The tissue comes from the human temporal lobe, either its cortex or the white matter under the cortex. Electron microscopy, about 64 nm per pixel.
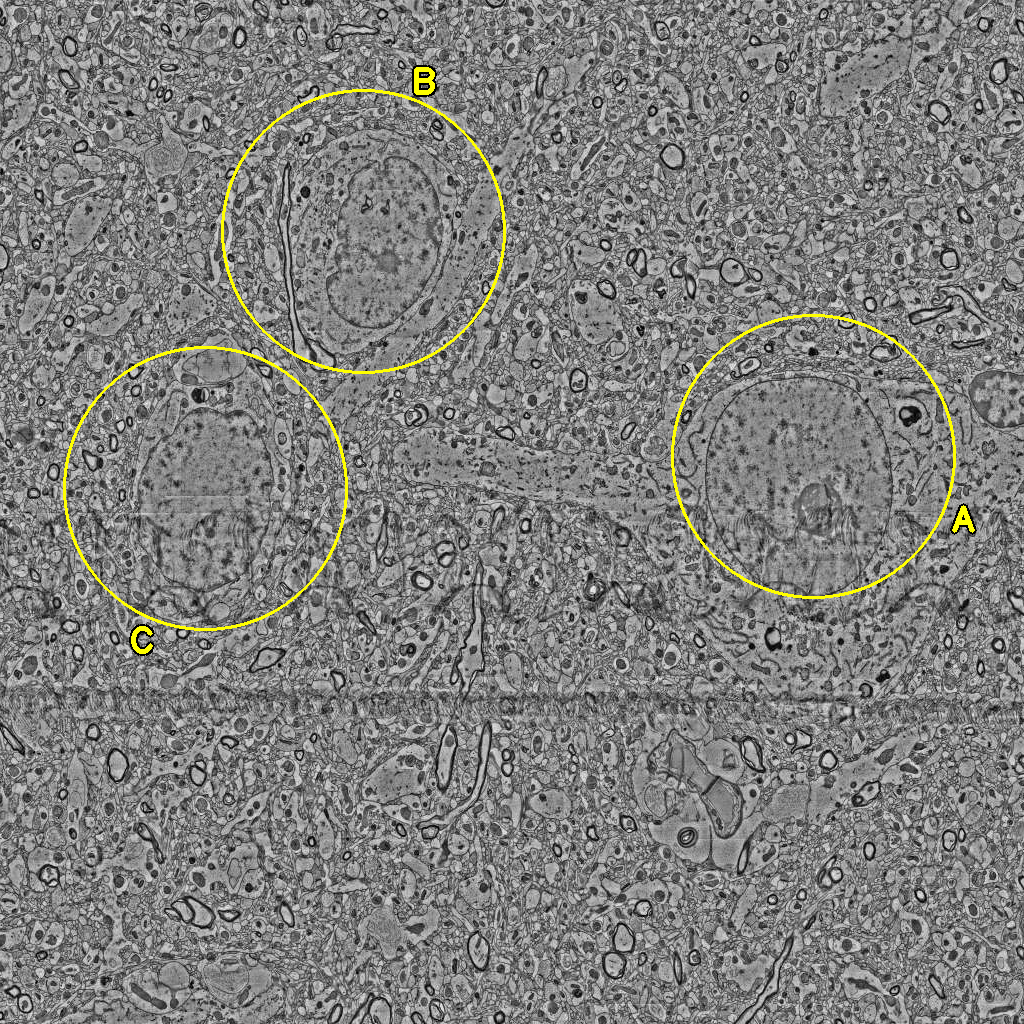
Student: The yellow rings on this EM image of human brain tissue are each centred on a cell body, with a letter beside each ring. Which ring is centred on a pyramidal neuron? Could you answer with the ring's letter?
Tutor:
A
